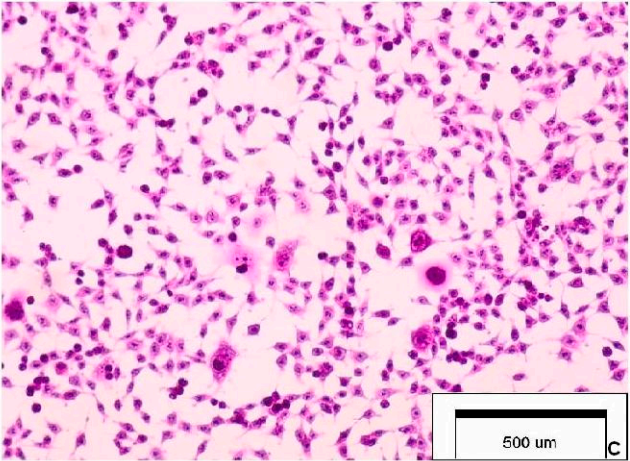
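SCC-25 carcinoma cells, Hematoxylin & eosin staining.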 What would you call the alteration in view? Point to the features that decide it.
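Cells vary strongly in size and shape across the field. Small round dark cells lie beside much larger cells. Nuclei differ markedly in size.
Answer: pleomorphism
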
